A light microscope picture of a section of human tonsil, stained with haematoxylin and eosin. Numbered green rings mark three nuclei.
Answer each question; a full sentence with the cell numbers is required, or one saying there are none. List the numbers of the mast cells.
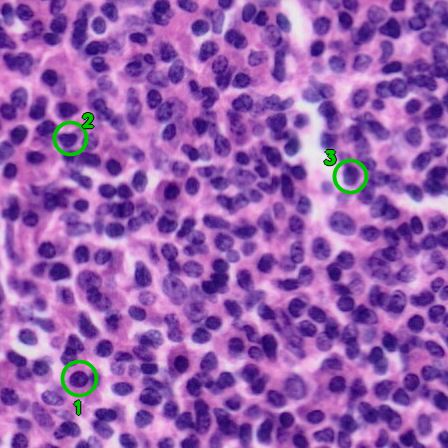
To be brief, no numbered cell here counts among the mast cells.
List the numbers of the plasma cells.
Cell number 1 alone is a plasma cell; the rest are not.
